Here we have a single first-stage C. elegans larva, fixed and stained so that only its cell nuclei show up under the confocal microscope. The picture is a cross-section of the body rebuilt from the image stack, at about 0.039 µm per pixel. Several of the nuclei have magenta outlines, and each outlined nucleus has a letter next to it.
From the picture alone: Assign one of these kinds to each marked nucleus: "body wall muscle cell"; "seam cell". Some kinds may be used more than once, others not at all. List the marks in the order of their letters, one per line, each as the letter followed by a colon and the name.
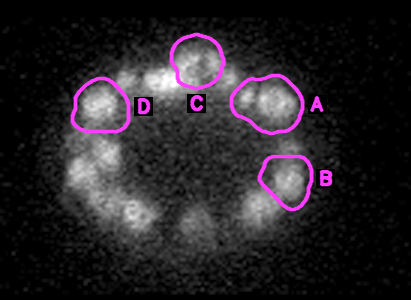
A: body wall muscle cell
B: body wall muscle cell
C: seam cell
D: body wall muscle cell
